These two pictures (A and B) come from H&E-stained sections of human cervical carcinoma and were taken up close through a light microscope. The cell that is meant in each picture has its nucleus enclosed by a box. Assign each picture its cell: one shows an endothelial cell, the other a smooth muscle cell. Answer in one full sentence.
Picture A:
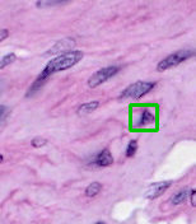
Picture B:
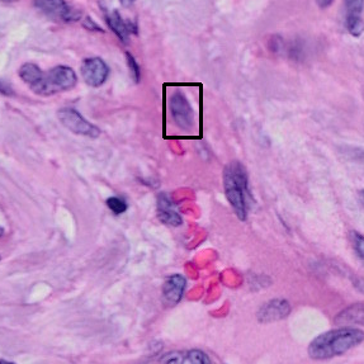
Picture A shows a smooth muscle cell and picture B shows an endothelial cell.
